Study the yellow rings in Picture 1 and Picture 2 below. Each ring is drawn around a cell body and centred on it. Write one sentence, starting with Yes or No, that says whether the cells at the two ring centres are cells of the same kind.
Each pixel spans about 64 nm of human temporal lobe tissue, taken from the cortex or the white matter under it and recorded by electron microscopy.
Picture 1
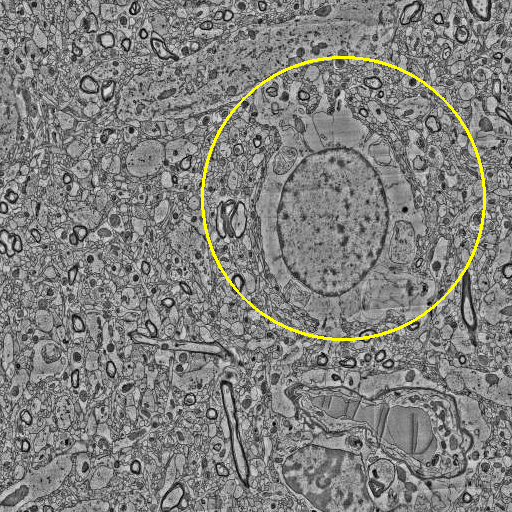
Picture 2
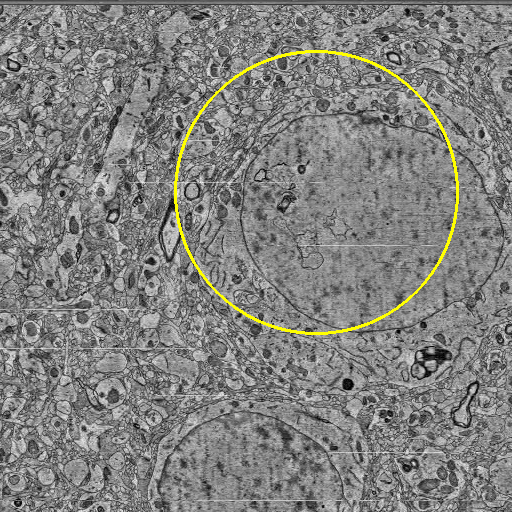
No, the cells at the ring centres are of two kinds.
